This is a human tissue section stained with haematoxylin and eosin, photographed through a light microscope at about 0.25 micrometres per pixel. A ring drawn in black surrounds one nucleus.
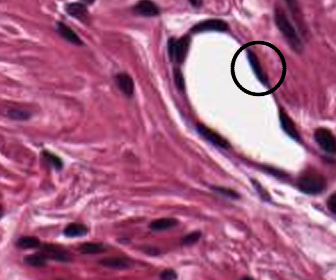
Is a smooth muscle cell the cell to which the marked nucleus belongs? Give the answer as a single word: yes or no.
no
